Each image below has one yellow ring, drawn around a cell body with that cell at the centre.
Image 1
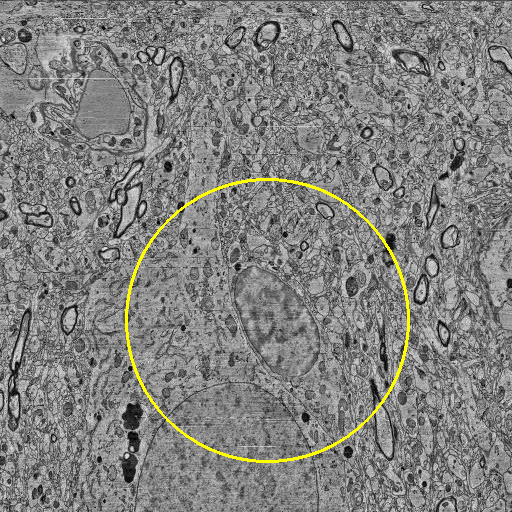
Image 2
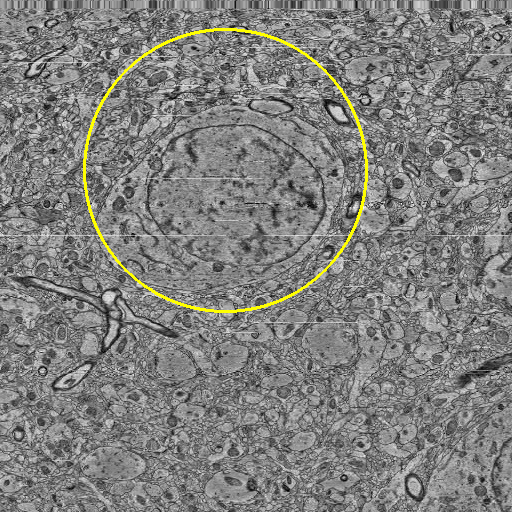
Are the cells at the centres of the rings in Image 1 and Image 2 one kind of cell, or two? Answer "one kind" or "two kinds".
two kinds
